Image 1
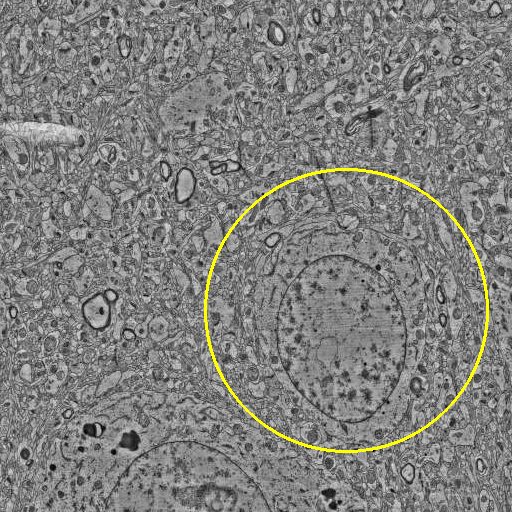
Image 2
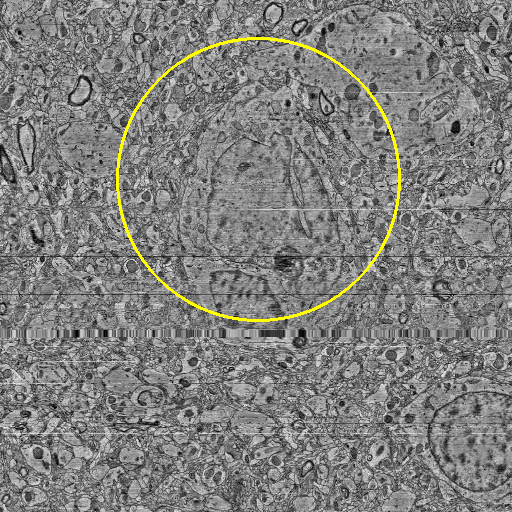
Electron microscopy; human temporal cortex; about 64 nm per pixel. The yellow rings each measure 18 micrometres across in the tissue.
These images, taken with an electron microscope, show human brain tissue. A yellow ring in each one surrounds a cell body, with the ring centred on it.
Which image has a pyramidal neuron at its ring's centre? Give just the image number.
1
